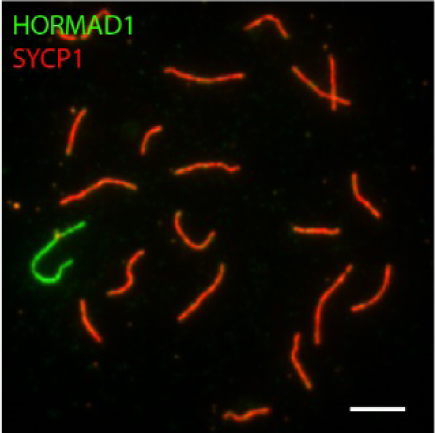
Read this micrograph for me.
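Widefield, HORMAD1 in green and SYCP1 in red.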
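A spread spermatocyte nucleus shows about twenty short, thick, red threads scattered apart from one another on a dark field. One curved thread at the left is green instead of red. The red threads are synapsed chromosome axes with their synaptonemal complexes, typical of a pachytene nucleus, while the green one remains unsynapsed.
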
